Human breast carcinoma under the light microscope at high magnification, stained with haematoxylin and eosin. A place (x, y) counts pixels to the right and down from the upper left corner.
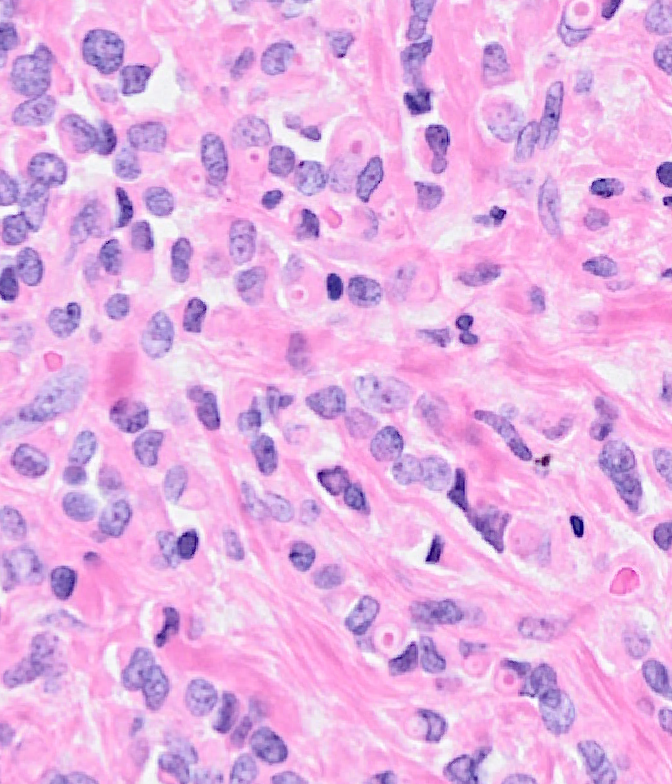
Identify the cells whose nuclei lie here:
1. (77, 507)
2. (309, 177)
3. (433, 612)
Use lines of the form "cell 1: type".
cell 1: carcinoma cell
cell 2: carcinoma cell
cell 3: endothelial cell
